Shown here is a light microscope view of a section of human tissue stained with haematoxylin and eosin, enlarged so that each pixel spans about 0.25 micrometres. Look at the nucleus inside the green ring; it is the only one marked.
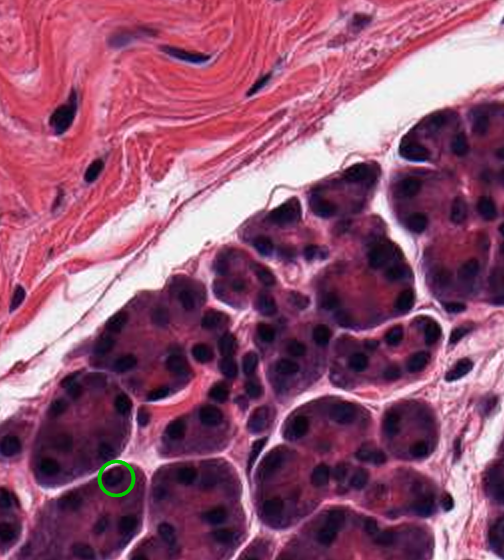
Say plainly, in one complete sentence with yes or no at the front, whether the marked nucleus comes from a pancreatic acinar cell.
Yes, it is the nucleus of a pancreatic acinar cell that has been marked.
